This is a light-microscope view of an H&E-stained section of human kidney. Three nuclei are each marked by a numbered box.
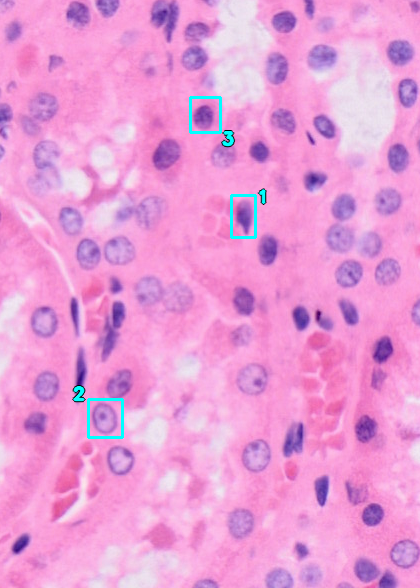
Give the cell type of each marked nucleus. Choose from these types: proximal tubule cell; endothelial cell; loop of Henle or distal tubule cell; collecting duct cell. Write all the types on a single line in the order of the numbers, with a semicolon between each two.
endothelial cell; proximal tubule cell; loop of Henle or distal tubule cell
